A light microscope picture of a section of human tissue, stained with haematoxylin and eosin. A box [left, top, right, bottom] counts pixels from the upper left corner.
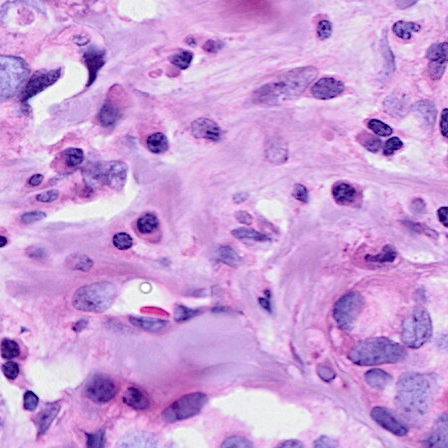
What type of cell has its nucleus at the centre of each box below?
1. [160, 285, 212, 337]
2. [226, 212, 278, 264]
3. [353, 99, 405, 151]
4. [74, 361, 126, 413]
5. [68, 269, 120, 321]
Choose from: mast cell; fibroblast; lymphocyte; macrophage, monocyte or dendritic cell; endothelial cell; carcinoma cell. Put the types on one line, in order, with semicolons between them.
endothelial cell; fibroblast; lymphocyte; carcinoma cell; endothelial cell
